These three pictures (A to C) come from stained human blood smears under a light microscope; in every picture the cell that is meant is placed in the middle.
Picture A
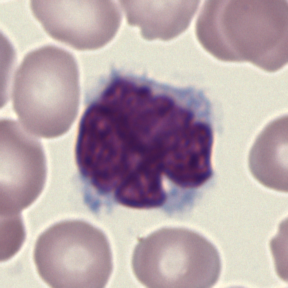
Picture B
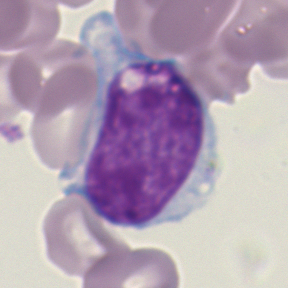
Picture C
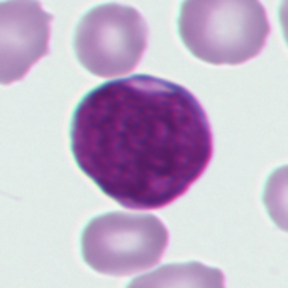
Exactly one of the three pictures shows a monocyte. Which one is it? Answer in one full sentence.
Picture A shows the monocyte.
